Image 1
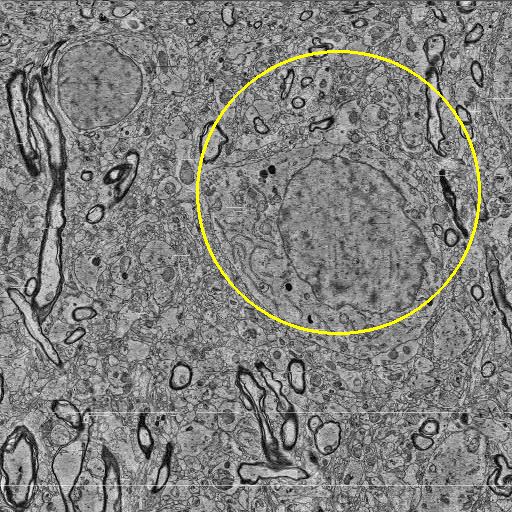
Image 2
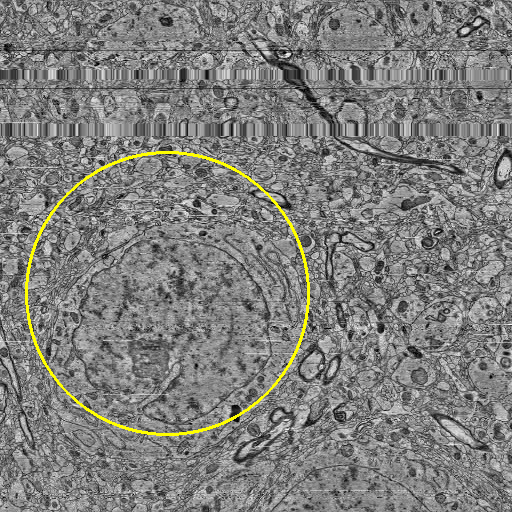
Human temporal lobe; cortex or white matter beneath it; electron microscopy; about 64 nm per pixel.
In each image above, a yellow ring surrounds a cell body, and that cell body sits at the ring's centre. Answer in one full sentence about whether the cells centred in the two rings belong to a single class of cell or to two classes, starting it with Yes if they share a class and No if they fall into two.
Yes, the cells centred in the two yellow rings belong to a single class of cell.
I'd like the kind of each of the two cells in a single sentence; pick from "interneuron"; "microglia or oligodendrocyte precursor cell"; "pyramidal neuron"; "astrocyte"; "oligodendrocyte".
The cell at the ring centre is an interneuron in both pictures.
